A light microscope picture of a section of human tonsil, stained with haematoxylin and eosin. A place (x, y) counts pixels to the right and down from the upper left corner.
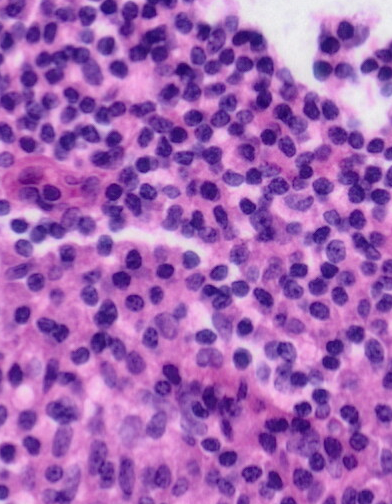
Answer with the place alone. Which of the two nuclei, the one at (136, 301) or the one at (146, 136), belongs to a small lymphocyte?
(146, 136)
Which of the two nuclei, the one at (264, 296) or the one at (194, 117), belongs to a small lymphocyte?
(194, 117)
